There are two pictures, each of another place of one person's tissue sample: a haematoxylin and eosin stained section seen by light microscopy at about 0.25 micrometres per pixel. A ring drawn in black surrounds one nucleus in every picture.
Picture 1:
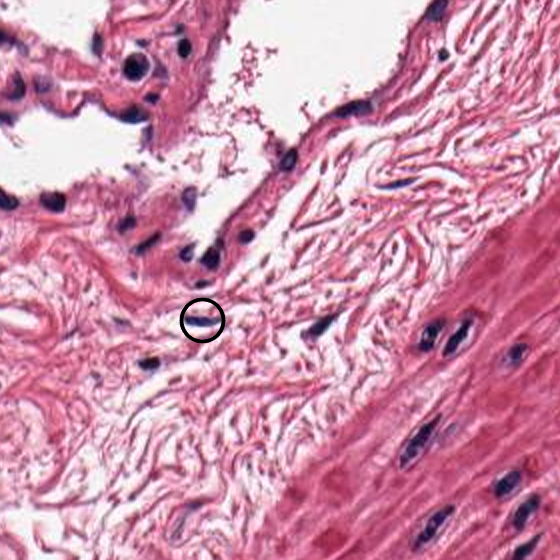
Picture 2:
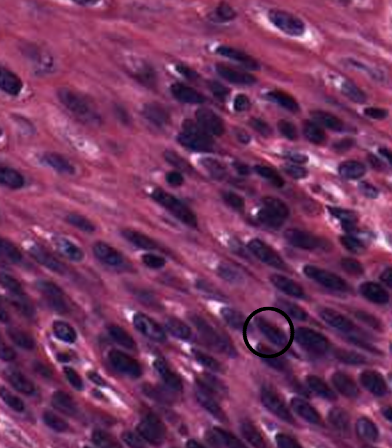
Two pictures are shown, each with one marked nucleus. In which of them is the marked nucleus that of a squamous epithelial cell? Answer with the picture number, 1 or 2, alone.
2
